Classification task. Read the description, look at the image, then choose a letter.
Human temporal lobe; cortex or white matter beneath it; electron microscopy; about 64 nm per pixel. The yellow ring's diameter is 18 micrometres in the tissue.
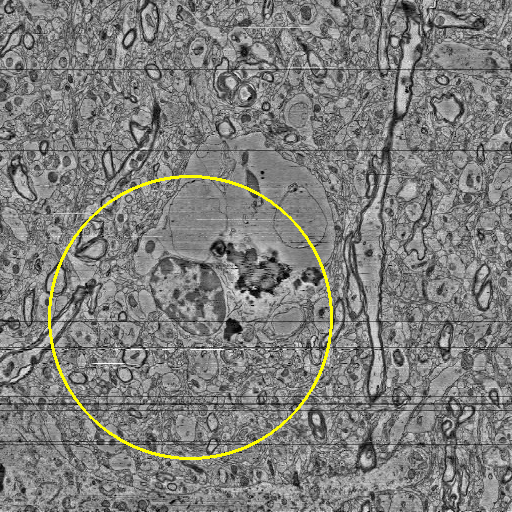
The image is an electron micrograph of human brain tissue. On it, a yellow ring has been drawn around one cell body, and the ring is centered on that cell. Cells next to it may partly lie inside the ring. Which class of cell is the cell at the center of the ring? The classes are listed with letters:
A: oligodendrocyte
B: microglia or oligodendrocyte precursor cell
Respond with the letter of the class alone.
B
